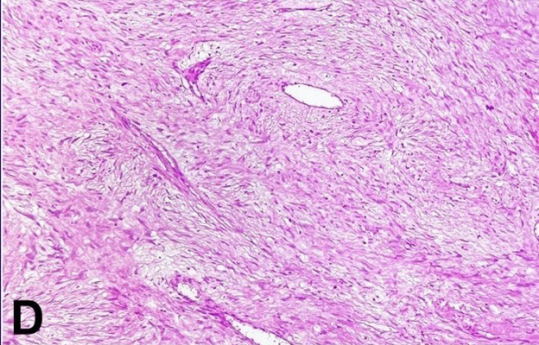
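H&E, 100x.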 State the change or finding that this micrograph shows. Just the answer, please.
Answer: Spindle cell tumor.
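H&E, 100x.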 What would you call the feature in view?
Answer: Thin-walled vessels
